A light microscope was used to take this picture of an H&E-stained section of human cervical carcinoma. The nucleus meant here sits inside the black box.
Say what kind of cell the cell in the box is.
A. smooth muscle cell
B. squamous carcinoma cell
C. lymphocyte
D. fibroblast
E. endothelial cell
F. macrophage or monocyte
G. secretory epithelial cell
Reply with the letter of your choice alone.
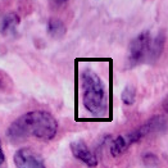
F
